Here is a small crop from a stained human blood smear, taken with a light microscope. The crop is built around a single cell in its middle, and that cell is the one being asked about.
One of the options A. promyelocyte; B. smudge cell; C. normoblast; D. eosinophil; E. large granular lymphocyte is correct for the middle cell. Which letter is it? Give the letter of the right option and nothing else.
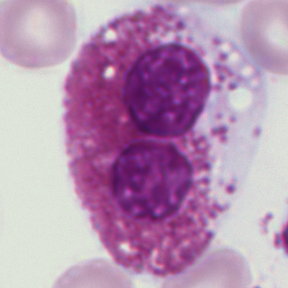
D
